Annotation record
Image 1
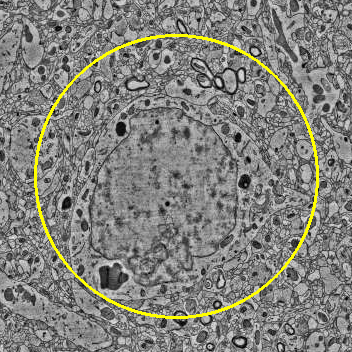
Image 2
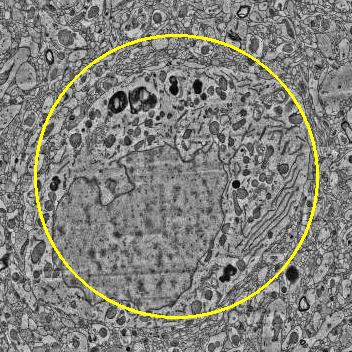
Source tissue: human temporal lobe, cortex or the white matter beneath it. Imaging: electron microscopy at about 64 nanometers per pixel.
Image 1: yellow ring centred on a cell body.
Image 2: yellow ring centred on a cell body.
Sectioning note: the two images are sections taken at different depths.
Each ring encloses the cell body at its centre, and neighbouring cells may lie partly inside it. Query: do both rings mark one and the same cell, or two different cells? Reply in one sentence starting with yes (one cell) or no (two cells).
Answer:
No, the rings do not mark the same cell.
